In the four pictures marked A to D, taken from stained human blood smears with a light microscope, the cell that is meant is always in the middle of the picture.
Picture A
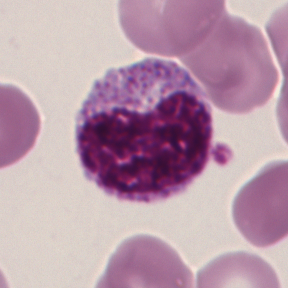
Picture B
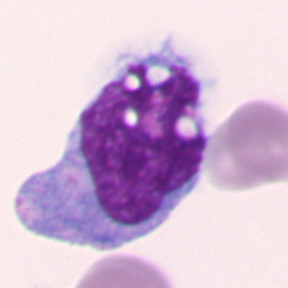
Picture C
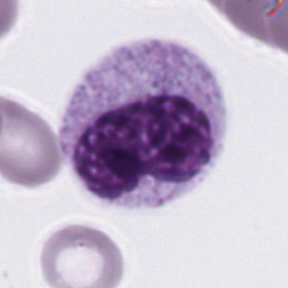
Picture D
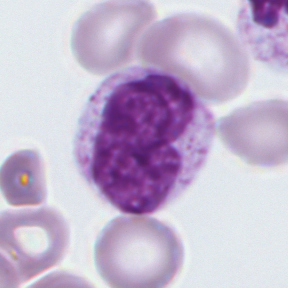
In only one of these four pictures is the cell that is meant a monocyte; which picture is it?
B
